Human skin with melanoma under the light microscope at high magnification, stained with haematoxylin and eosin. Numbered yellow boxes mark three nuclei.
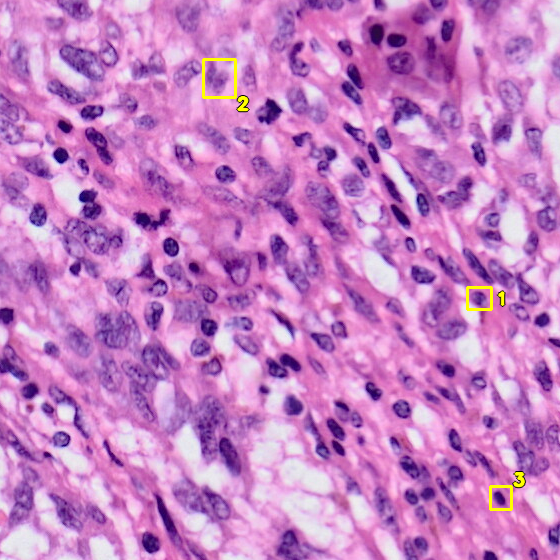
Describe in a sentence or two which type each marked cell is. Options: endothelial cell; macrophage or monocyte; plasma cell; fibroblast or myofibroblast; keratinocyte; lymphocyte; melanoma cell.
Cells 1 and 3 are lymphocytes. Cell 2 is a melanoma cell.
